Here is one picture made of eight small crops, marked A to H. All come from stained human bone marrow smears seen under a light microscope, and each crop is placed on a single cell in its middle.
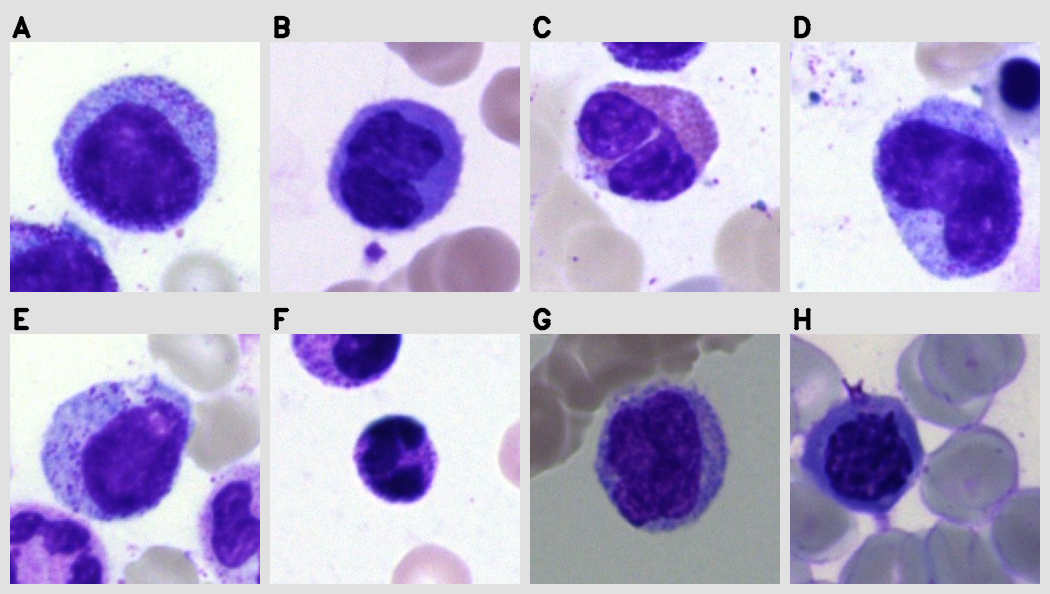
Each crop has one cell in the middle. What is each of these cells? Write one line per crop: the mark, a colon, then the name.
A: myelocyte
B: monocyte
C: eosinophil
D: metamyelocyte
E: myelocyte
F: segmented neutrophil
G: monocyte
H: erythroblast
